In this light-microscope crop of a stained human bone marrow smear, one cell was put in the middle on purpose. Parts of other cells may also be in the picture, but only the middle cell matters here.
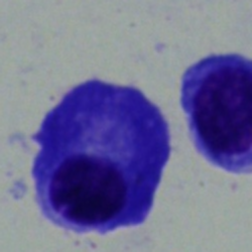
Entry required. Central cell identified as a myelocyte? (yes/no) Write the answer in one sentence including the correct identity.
No, the cell in the centre is to be called a plasma cell instead of a myelocyte.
